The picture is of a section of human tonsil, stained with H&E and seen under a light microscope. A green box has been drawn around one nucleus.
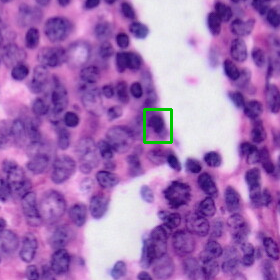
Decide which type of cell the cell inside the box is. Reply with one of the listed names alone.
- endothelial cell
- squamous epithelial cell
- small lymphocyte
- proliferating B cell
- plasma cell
proliferating B cell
